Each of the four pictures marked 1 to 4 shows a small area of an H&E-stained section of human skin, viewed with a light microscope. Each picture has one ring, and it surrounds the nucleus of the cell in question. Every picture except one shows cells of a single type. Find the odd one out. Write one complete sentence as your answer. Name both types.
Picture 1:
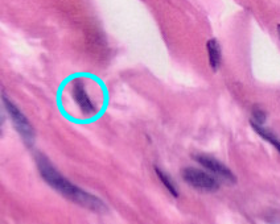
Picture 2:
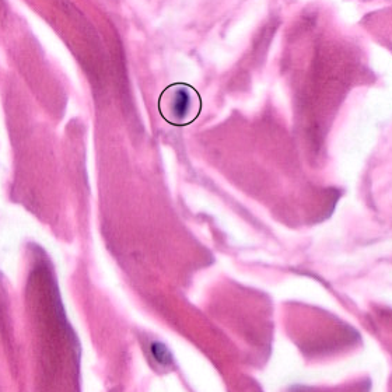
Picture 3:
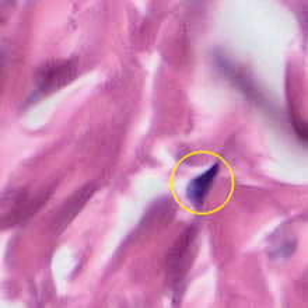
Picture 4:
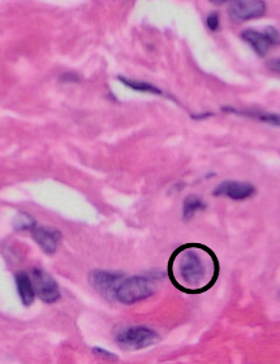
Picture 4 is the odd one out: it shows an endothelial cell, while the others show fibroblasts.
